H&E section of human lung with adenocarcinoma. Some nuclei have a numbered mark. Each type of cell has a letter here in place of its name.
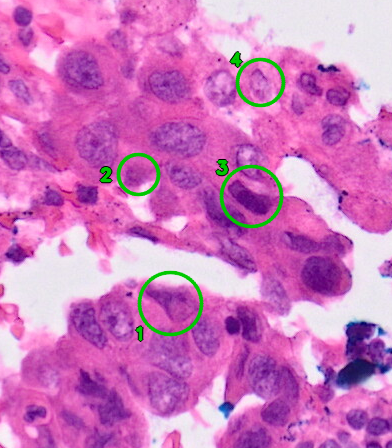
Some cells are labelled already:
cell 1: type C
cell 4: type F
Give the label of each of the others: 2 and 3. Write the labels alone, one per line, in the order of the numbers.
type C
type C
